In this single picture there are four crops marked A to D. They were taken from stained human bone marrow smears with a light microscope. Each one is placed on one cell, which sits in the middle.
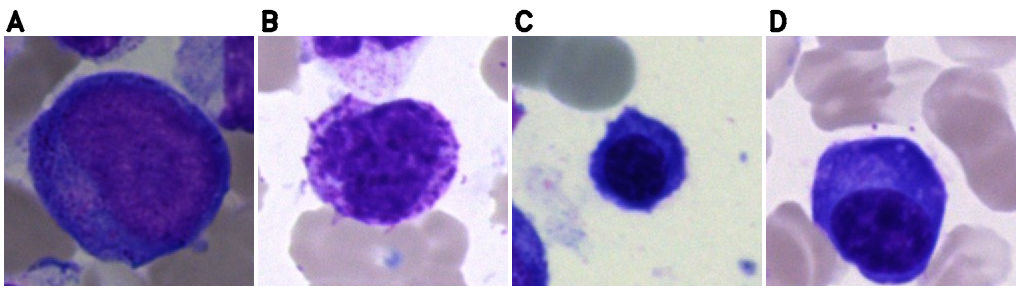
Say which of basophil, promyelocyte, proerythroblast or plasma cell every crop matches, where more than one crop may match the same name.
A: proerythroblast
B: basophil
C: plasma cell
D: plasma cell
